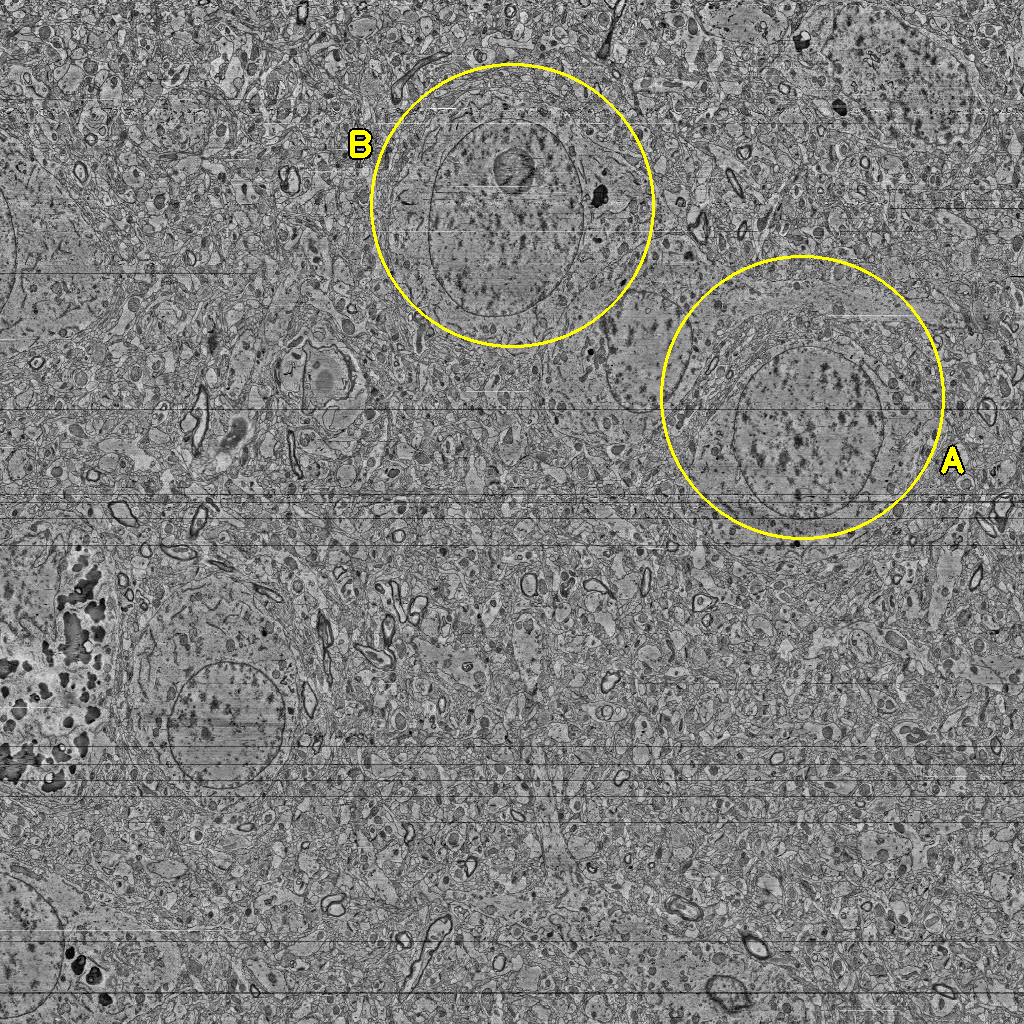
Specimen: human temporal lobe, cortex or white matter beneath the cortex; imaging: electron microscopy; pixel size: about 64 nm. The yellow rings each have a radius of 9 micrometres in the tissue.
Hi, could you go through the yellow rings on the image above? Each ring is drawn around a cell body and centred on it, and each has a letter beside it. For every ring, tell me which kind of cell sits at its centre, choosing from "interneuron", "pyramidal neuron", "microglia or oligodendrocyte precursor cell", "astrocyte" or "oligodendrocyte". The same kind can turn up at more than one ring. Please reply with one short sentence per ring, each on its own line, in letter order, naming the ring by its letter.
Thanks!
Ring A is centred on a pyramidal neuron.
Ring B is centred on a pyramidal neuron.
